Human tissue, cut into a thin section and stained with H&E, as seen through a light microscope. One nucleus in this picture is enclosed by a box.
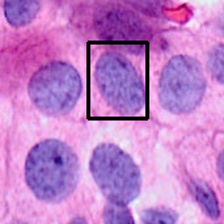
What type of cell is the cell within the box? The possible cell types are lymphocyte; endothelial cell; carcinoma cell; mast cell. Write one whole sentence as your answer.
This is a carcinoma cell.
